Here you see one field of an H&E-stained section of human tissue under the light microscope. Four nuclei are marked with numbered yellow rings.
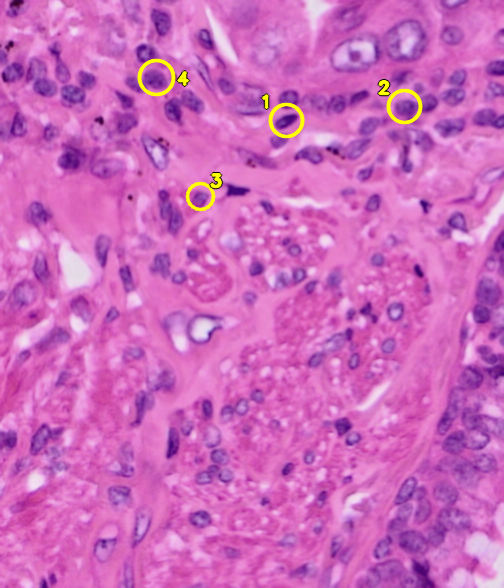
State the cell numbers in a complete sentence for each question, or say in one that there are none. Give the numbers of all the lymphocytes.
Classified as lymphocytes are the cells numbered 1, 2 and 4.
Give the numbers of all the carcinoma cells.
None among the numbered cells are carcinoma cells.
